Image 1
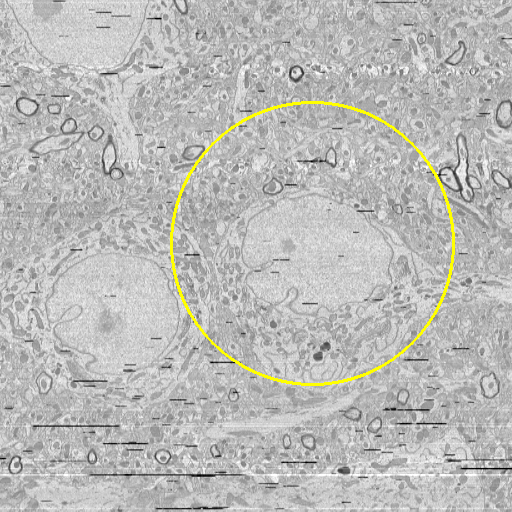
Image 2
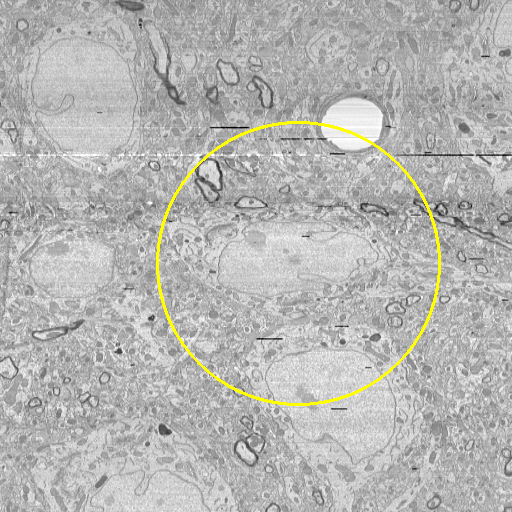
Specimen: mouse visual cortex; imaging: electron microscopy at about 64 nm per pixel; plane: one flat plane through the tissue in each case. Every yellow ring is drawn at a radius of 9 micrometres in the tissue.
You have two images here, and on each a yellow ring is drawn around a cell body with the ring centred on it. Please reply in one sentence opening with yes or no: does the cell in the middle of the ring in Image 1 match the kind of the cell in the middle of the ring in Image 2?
Yes, the two images show cells of one kind at the centres of their rings.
